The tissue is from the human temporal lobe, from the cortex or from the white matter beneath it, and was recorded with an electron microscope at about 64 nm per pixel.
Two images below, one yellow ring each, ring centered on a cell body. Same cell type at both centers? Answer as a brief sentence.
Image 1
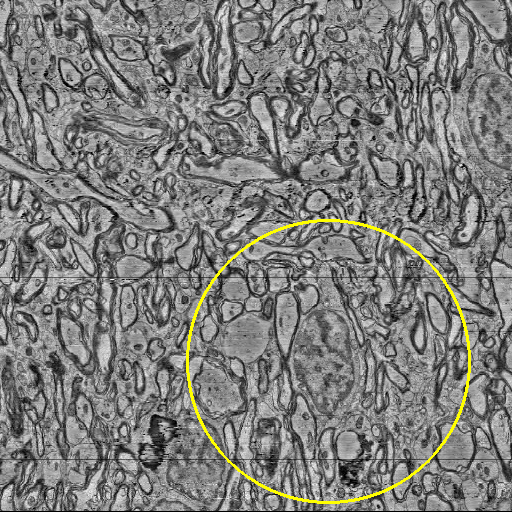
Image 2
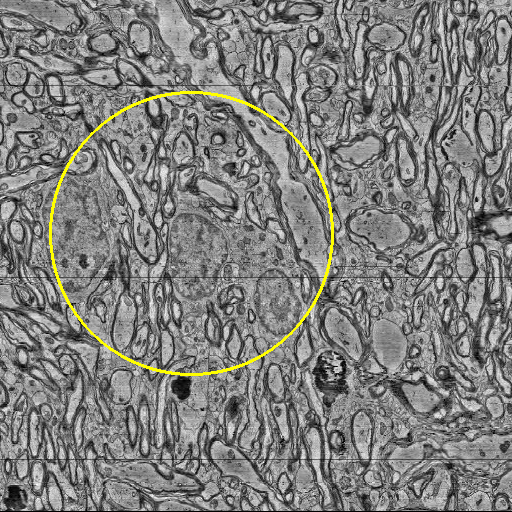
Yes, both cells are of the same type.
